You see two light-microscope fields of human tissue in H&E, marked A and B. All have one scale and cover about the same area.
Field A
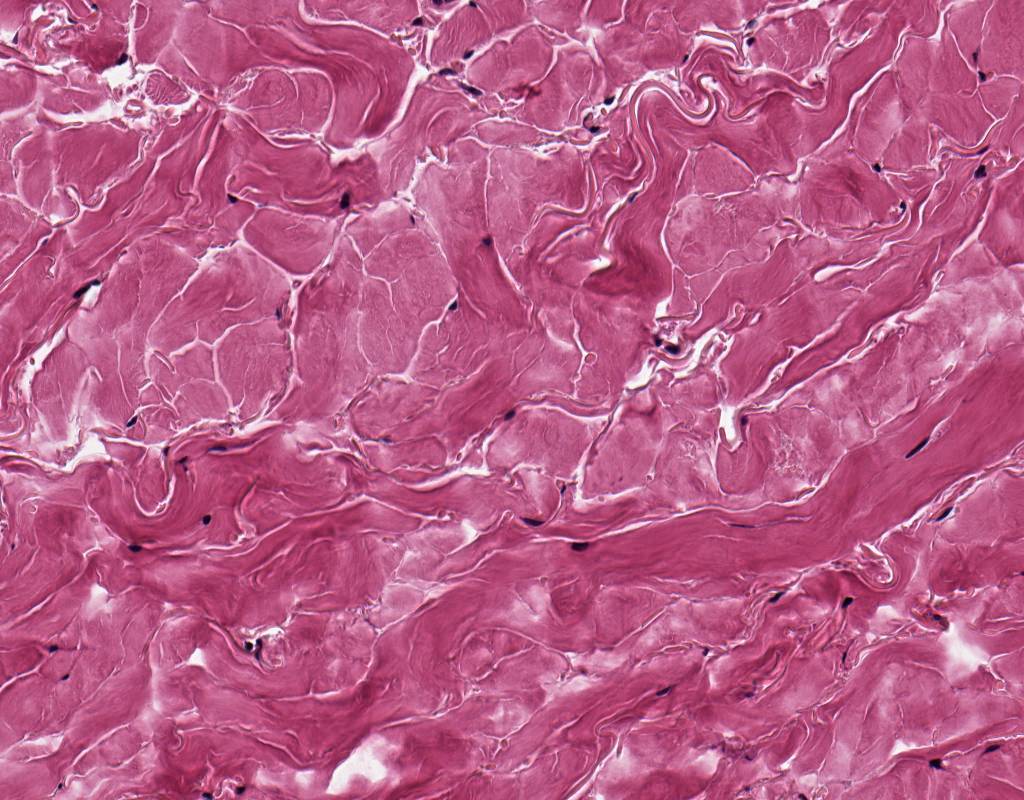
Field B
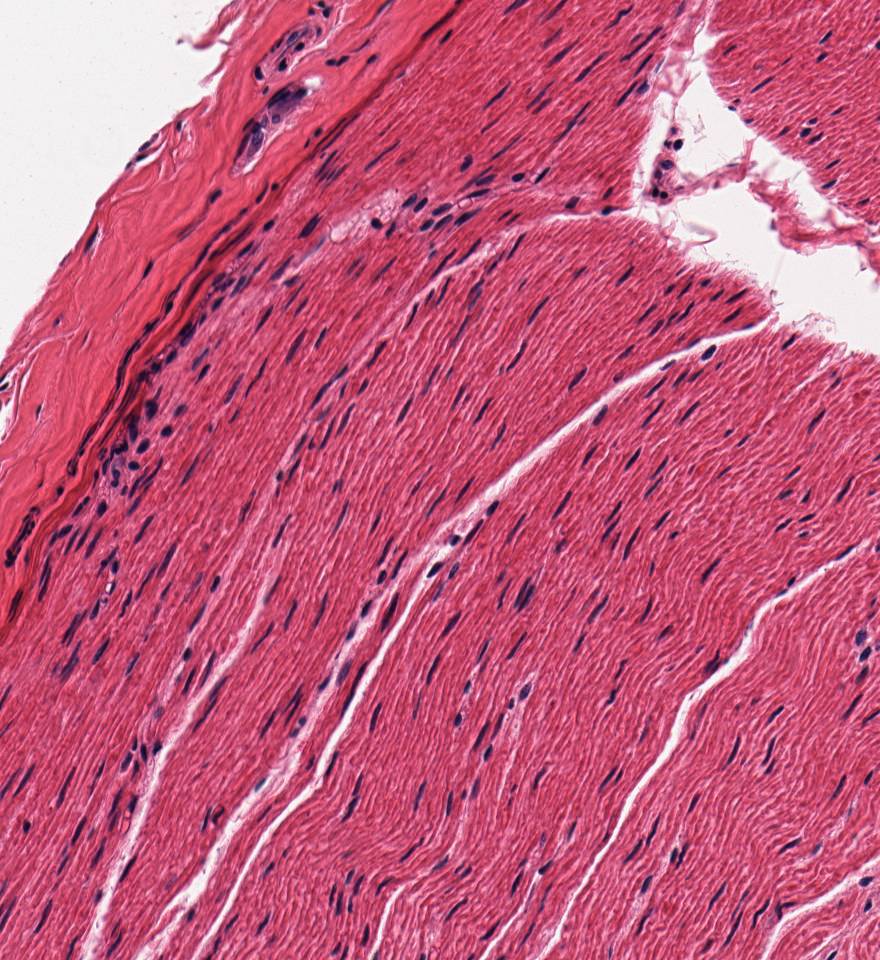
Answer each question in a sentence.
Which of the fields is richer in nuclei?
There are more nuclei in field B.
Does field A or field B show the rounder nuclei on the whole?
Rounder nuclei lie in field A.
